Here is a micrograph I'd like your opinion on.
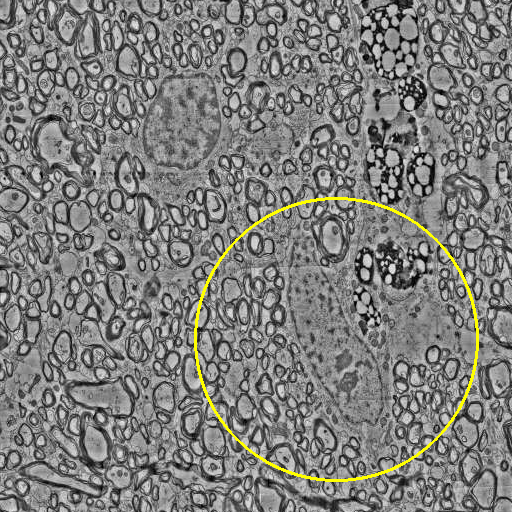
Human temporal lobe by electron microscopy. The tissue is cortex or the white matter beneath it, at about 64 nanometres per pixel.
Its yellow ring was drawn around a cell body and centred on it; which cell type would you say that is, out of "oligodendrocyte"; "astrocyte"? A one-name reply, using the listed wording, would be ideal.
astrocyte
